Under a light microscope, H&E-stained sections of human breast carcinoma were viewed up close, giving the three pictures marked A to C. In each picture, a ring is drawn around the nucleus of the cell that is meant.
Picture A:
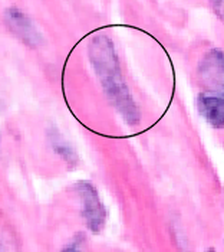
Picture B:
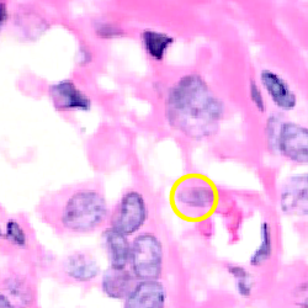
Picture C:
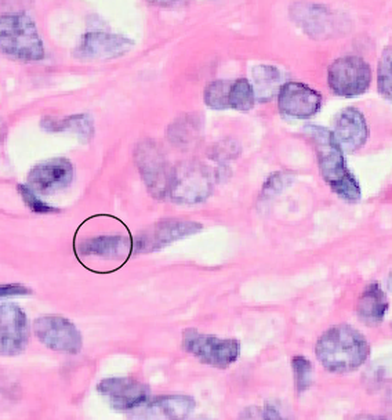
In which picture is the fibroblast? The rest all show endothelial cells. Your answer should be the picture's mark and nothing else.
A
